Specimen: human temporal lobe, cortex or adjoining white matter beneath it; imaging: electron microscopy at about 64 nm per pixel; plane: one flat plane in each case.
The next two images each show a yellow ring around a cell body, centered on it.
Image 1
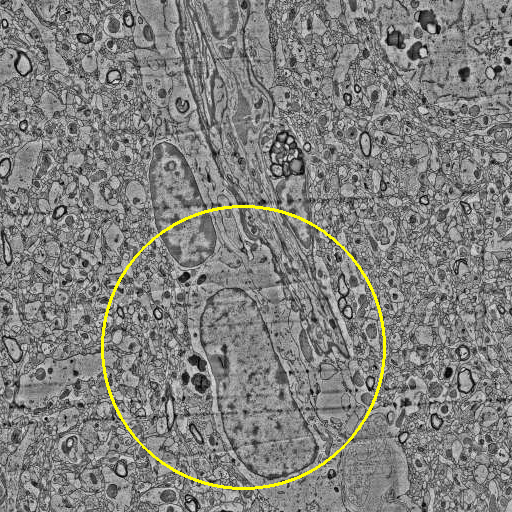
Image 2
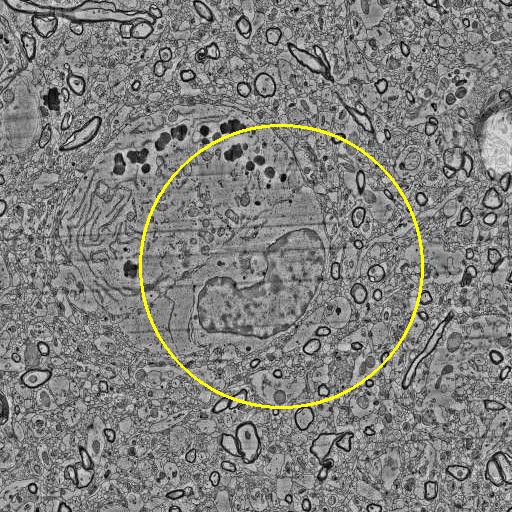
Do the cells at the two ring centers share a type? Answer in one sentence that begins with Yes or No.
Yes, across the two images the cells at the ring centers share one type.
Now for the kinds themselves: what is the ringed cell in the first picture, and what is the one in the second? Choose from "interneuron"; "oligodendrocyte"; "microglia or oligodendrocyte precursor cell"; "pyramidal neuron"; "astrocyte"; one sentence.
In each picture the ringed cell is a microglial cell or oligodendrocyte precursor cell.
